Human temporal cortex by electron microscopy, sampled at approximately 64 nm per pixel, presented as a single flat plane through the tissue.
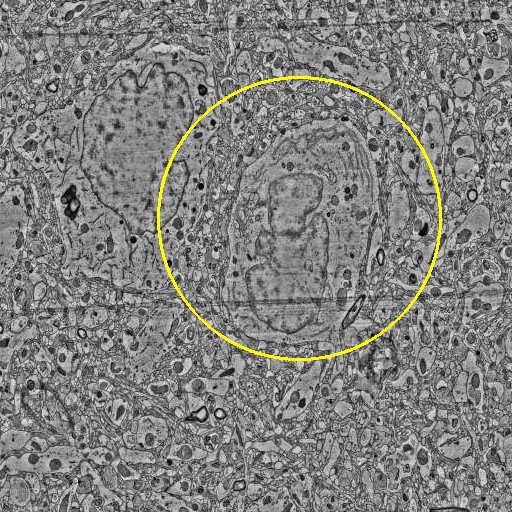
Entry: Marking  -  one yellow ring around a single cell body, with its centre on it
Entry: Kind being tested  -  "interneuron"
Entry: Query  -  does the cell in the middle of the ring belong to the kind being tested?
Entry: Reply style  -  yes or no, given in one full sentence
Yes, the centred cell within the ring in the picture does belong to the tested kind.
